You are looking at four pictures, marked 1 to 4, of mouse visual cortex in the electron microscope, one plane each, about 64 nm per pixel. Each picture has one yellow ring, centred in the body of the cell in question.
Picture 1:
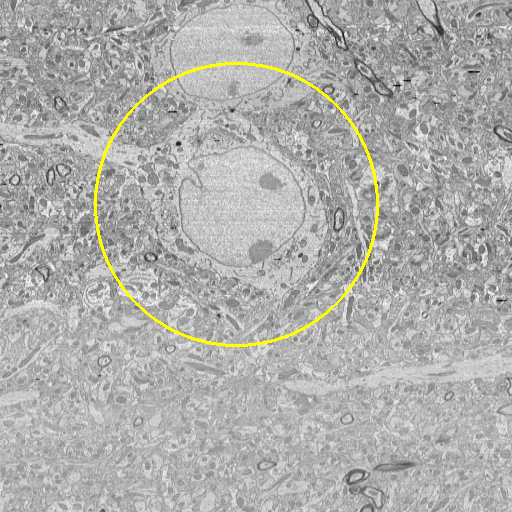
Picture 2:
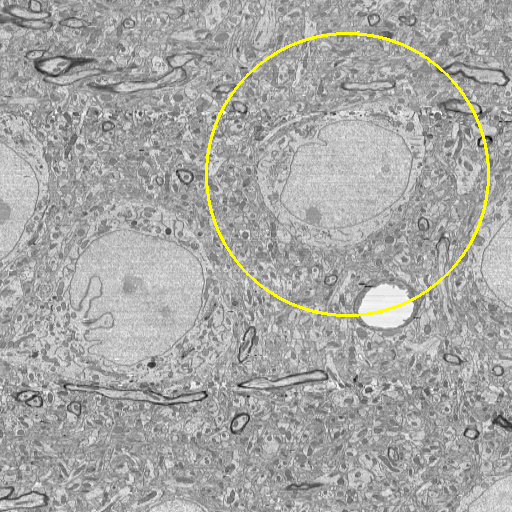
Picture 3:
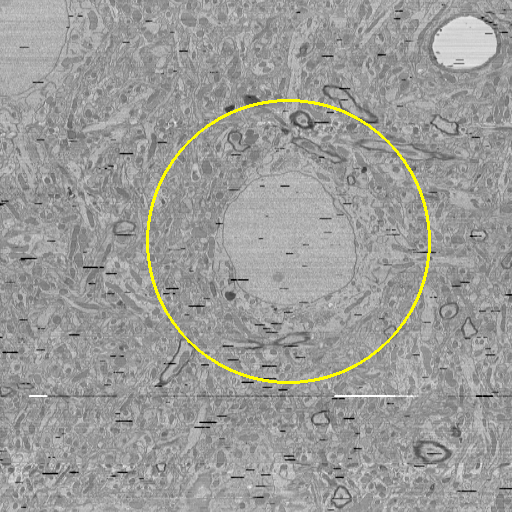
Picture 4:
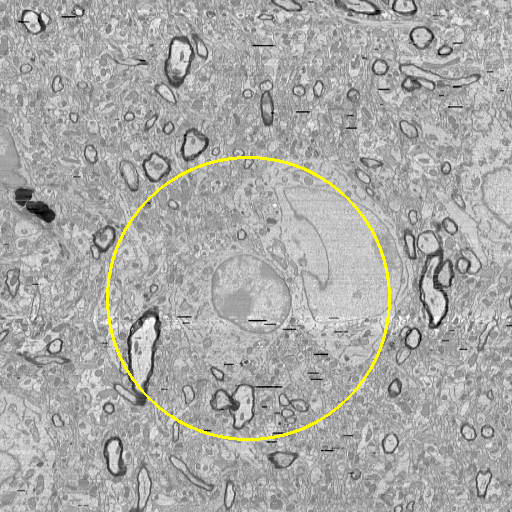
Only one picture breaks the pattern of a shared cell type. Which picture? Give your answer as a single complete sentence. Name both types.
Picture 4 is the odd one out: it shows an oligodendrocyte, while the others show excitatory neurons.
